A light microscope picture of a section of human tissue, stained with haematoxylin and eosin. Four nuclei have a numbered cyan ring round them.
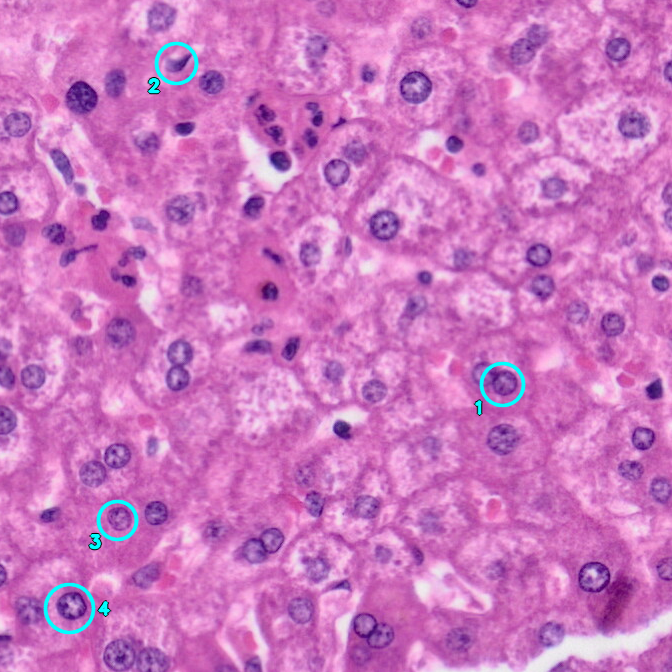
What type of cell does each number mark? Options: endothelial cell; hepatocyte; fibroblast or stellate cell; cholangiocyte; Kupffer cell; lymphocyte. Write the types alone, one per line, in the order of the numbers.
hepatocyte
endothelial cell
hepatocyte
hepatocyte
